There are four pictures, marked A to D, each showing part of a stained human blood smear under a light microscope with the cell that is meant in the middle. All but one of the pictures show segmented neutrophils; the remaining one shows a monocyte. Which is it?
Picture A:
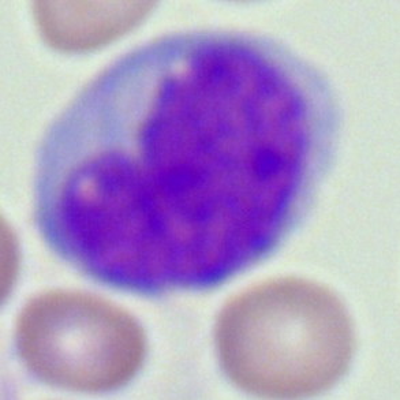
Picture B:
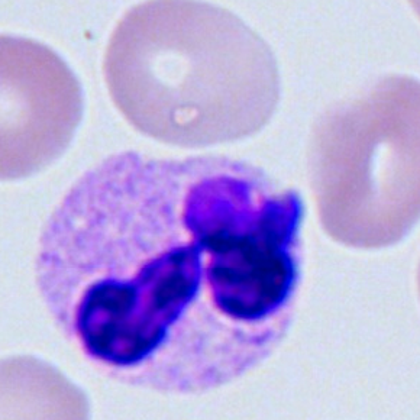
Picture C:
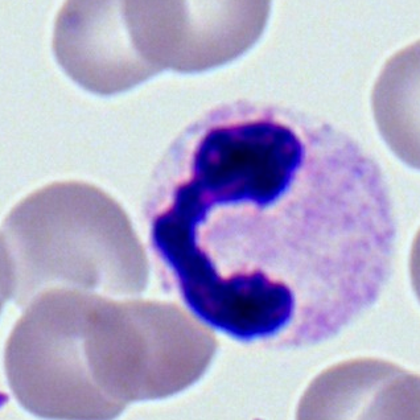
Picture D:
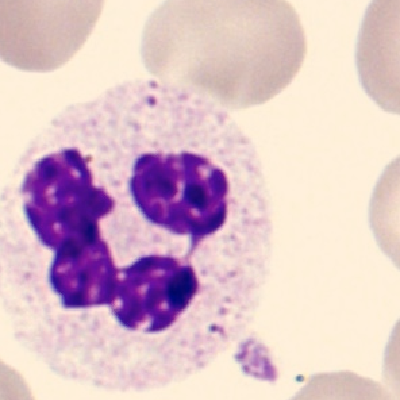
A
